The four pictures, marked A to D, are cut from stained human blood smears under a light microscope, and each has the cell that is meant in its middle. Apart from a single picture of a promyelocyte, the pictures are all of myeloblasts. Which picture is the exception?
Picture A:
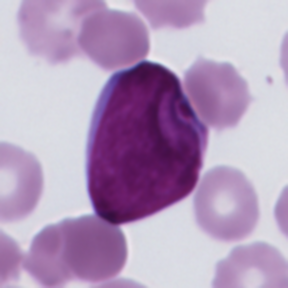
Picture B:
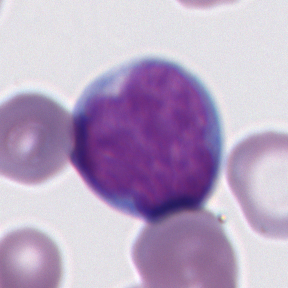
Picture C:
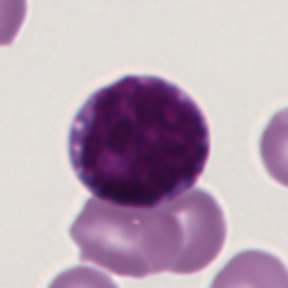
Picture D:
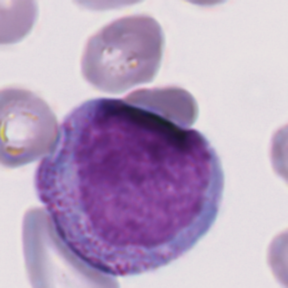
D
